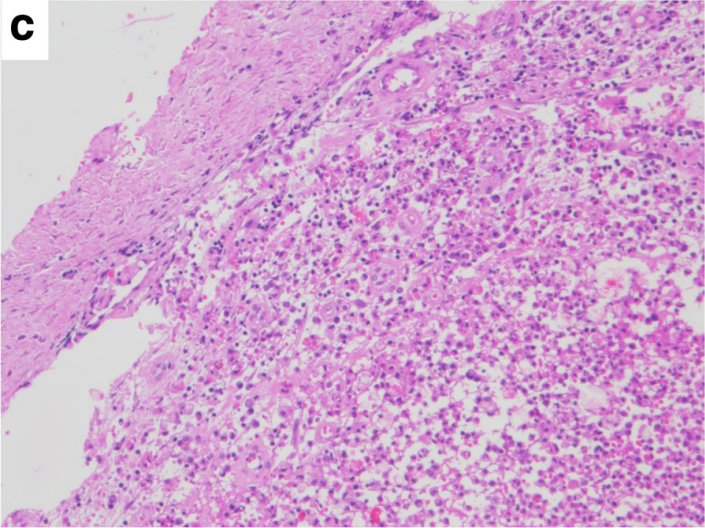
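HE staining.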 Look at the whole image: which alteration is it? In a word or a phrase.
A: Inflammatory cell infiltration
